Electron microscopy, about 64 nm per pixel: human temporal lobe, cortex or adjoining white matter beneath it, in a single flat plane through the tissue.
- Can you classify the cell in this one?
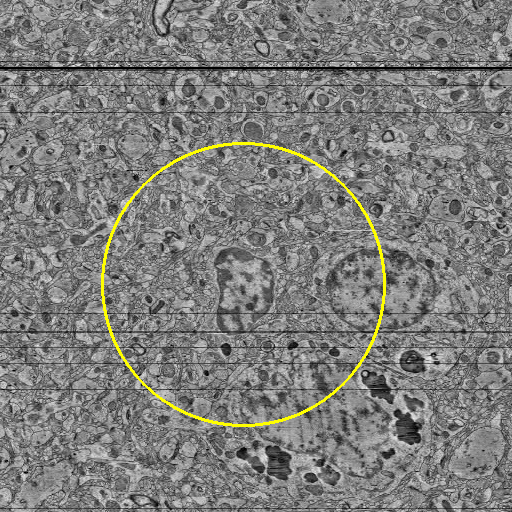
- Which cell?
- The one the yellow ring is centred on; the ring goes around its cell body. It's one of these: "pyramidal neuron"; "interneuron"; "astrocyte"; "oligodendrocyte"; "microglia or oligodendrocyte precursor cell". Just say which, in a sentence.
The cell body in the ring belongs to a microglial cell or oligodendrocyte precursor cell.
